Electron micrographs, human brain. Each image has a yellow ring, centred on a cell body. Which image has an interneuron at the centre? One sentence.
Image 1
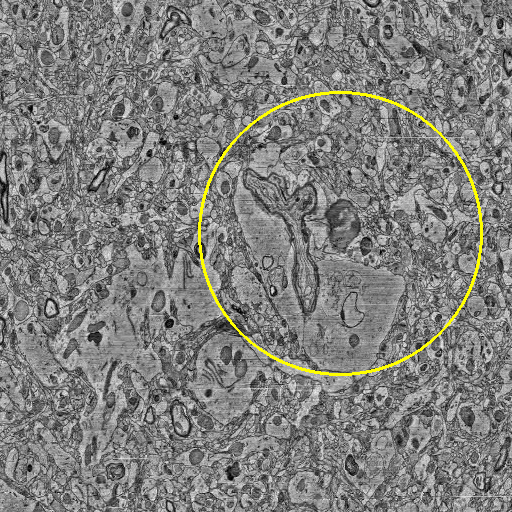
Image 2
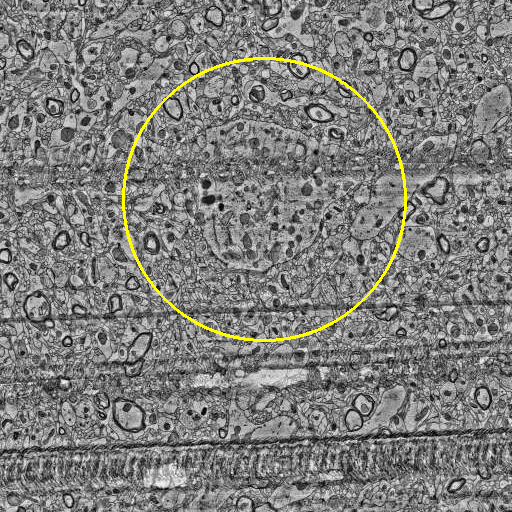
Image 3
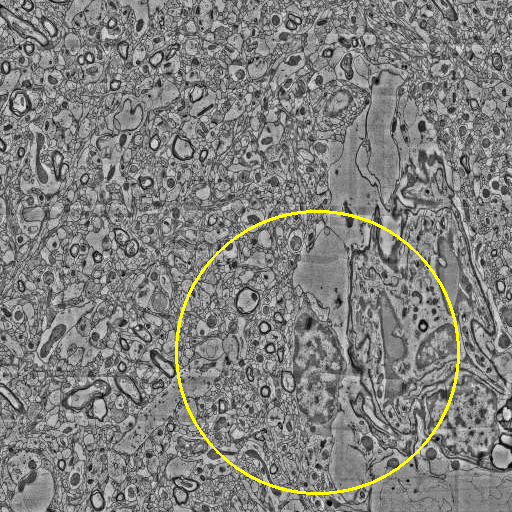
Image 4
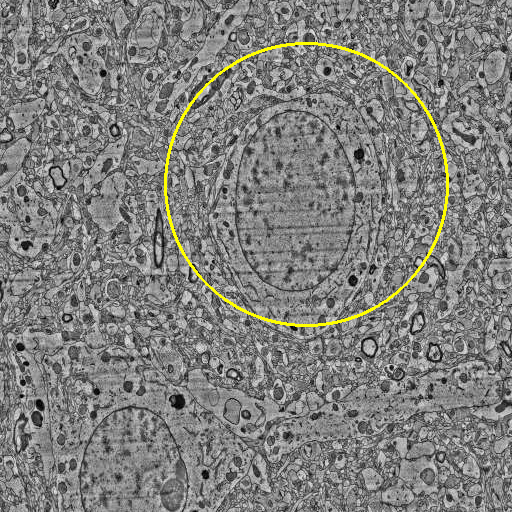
The ring in Image 2 is centred on it.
